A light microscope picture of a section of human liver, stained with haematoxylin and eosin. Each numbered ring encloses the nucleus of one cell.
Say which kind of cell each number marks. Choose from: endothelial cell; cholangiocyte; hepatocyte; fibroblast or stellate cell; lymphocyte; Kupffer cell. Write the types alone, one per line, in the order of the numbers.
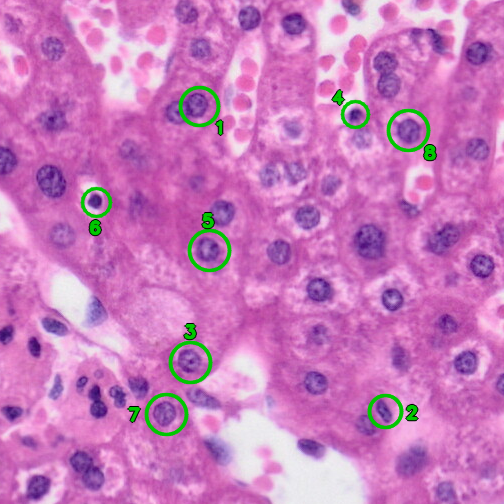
hepatocyte
fibroblast or stellate cell
hepatocyte
lymphocyte
hepatocyte
lymphocyte
hepatocyte
hepatocyte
